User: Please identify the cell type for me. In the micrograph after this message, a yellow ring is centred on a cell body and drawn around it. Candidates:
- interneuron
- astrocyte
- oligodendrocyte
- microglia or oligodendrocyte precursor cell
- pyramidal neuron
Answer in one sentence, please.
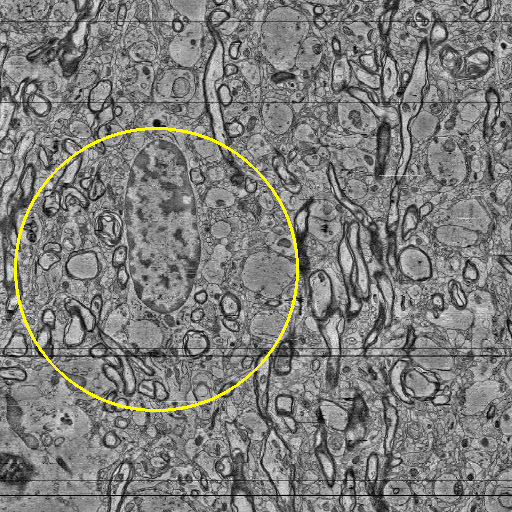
The ring is drawn around the cell body of a microglial cell or oligodendrocyte precursor cell.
